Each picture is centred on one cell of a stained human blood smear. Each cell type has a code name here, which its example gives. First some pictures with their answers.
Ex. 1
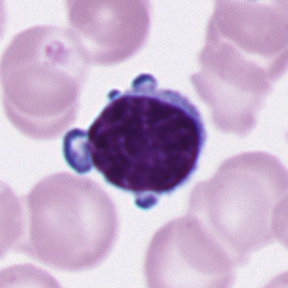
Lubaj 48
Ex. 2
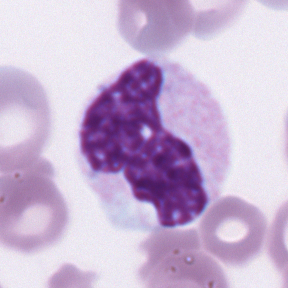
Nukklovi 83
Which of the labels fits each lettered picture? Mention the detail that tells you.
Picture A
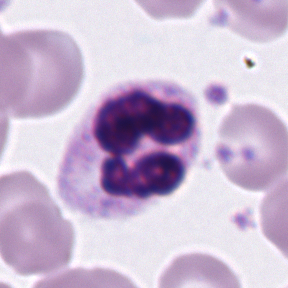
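Nukklovi 83. Reason: The cytoplasm is pale pinkish-lilac rather than blue.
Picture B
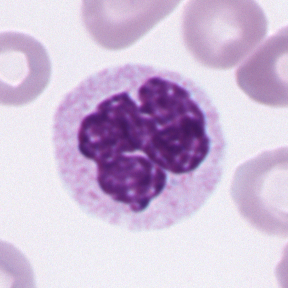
Nukklovi 83. Reason: The cytoplasm is pale pink.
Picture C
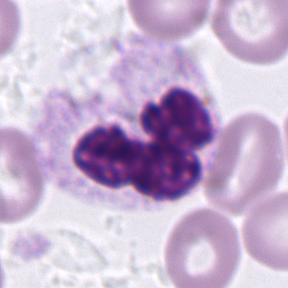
Nukklovi 83. Reason: The cytoplasm is abundant and pale pinkish-lilac.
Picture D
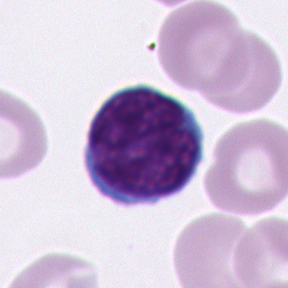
Lubaj 48. Reason: The cytoplasm forms only a thin rim, widest at the lower left.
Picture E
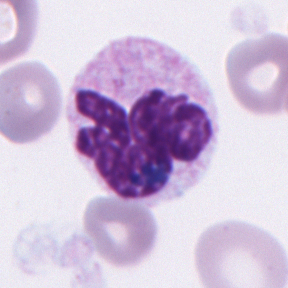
Nukklovi 83. Reason: The nucleus is divided into many lobes, clearly more than three.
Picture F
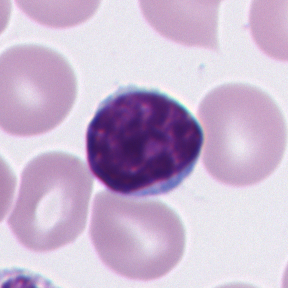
Lubaj 48. Reason: The cytoplasm is scant and shows mainly as a thin crescent along the lower edge of the cell.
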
